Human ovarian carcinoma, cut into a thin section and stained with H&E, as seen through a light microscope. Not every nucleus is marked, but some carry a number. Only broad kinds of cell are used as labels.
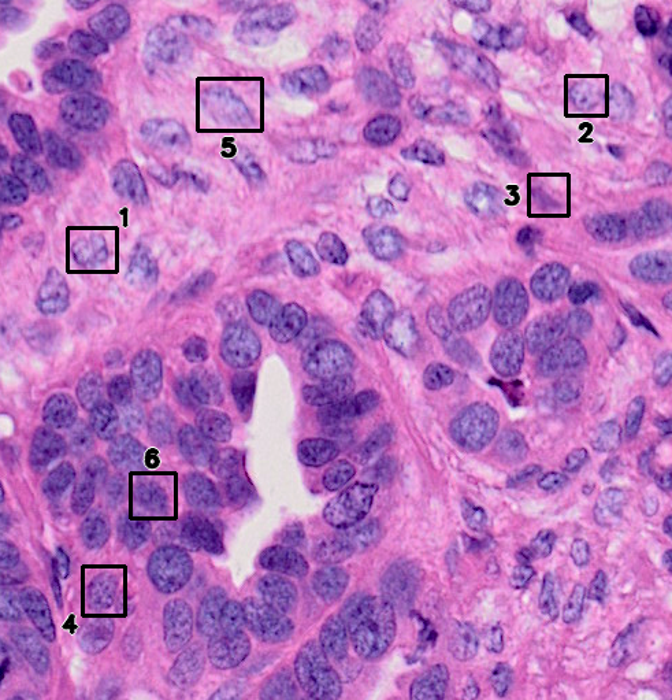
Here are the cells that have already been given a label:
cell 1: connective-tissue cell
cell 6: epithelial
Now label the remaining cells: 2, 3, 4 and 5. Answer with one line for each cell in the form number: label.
2: connective-tissue cell
3: connective-tissue cell
4: epithelial
5: connective-tissue cell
